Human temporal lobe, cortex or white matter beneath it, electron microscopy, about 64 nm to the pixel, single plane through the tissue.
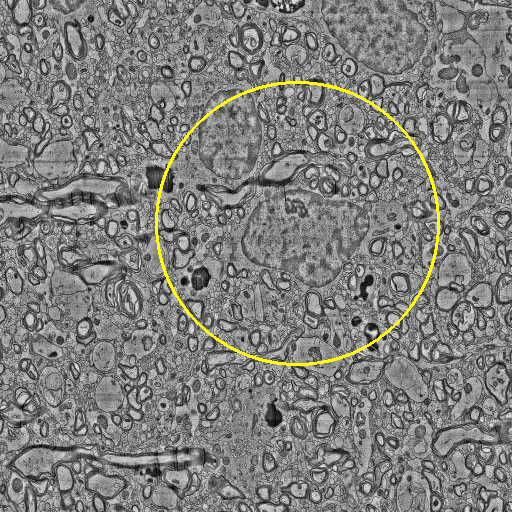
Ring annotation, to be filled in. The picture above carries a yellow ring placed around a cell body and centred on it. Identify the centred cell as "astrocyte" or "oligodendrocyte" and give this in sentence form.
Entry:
The cell in the middle of the ring is an oligodendrocyte.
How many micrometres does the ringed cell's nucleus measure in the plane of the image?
In this plane, roughly 8 by 6 micrometres.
